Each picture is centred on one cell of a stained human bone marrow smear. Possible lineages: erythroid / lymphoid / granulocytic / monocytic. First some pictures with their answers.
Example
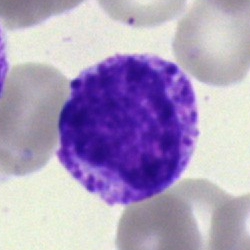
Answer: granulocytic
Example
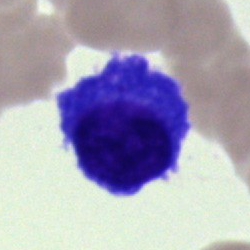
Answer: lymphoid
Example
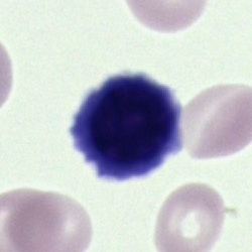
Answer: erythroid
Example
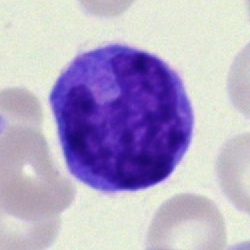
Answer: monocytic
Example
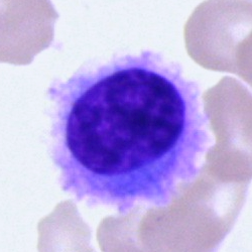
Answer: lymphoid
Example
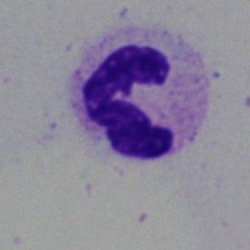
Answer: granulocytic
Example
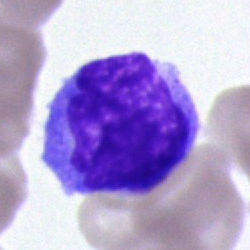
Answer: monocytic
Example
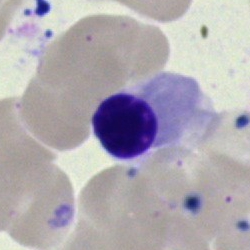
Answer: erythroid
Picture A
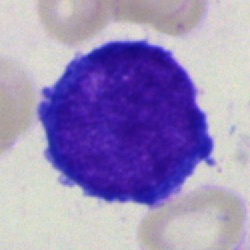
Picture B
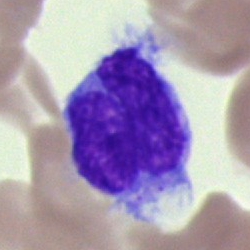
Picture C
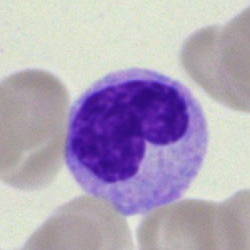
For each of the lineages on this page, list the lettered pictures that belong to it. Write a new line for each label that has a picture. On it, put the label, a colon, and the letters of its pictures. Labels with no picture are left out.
erythroid: A
granulocytic: C
monocytic: B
